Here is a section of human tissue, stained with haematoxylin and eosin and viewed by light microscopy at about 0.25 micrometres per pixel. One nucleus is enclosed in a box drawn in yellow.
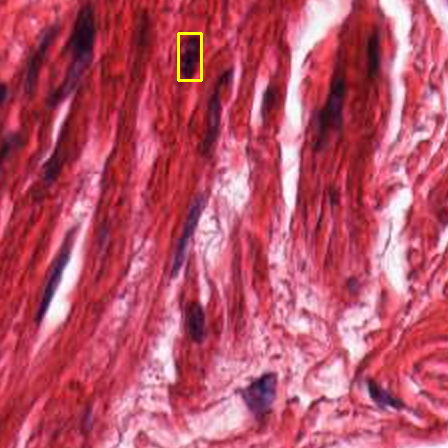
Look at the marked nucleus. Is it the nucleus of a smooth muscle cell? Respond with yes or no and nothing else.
yes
